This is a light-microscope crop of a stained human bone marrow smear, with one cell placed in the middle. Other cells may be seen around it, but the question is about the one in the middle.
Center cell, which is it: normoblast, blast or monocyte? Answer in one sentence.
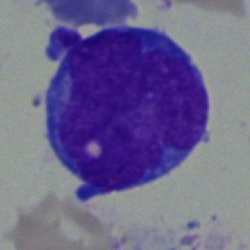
Centrally within this crop lies a blast.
